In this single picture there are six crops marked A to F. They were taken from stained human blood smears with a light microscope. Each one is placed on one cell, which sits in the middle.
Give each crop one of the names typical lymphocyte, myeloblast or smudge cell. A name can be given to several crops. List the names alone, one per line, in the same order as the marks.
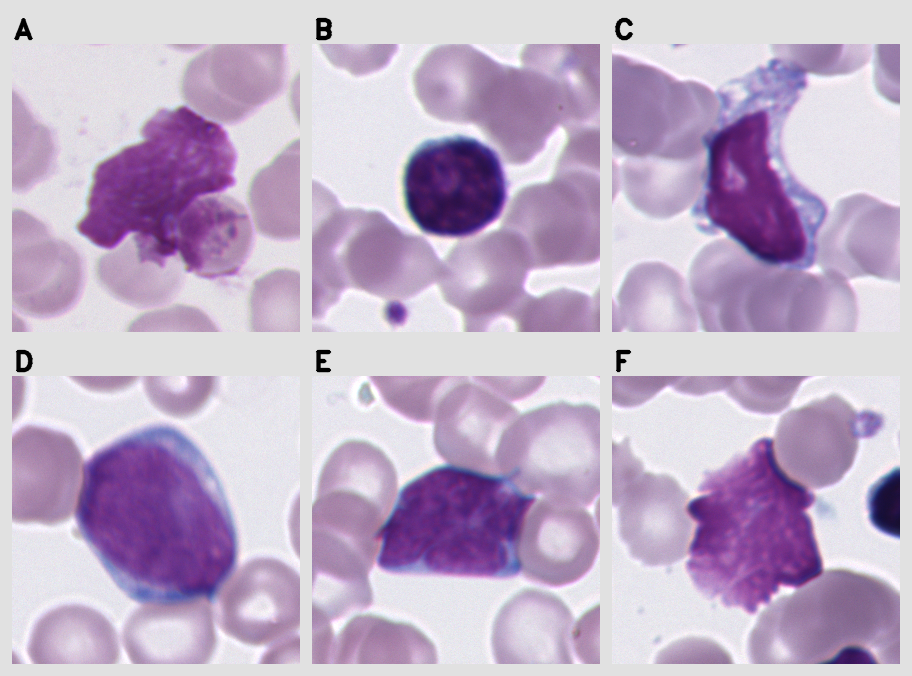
smudge cell
typical lymphocyte
typical lymphocyte
myeloblast
myeloblast
smudge cell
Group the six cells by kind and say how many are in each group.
smudge cell: 2
typical lymphocyte: 2
myeloblast: 2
